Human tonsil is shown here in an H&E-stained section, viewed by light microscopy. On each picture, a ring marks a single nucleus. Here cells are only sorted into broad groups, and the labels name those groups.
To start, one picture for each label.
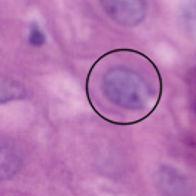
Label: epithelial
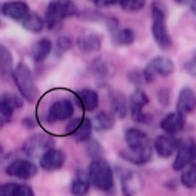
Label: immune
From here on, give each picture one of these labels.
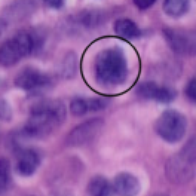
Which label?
immune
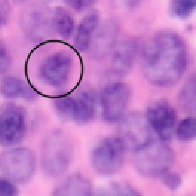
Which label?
immune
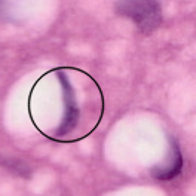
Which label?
epithelial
